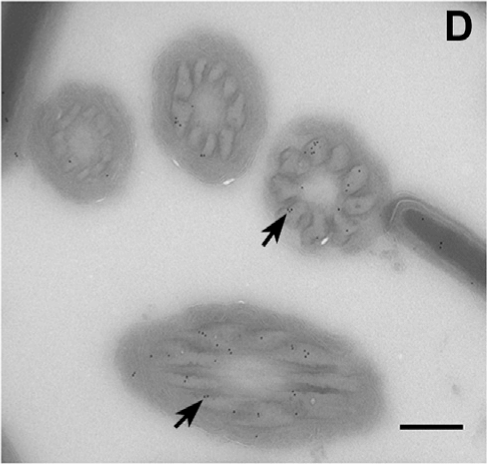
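Several round and oval profiles of the sperm tail are cut across, each with a ring of dense, petal-like fibres arranged radially around a paler central core, within a thin surrounding sheath. One profile at the bottom is cut obliquely so its fibres appear as elongated dense streaks, and a dense rod cut lengthwise enters from the right edge. Small black gold particles lie mostly over the dense outer fibres.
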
